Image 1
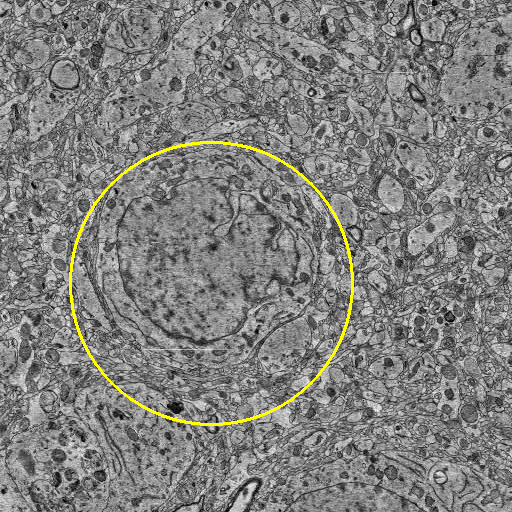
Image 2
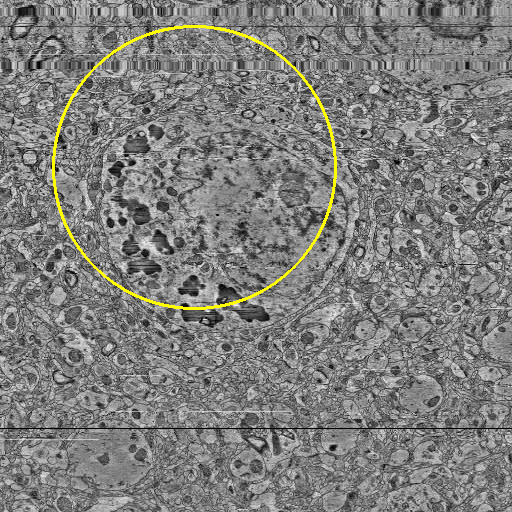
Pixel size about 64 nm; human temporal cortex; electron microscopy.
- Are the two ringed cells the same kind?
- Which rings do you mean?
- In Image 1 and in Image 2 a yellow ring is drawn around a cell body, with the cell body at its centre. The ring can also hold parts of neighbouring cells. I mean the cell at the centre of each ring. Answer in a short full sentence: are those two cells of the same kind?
Yes, both cells are of the same kind.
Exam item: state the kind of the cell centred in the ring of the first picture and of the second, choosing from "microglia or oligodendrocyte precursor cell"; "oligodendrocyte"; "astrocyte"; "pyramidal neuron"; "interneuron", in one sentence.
The first and the second cell are each an interneuron.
